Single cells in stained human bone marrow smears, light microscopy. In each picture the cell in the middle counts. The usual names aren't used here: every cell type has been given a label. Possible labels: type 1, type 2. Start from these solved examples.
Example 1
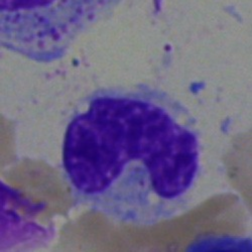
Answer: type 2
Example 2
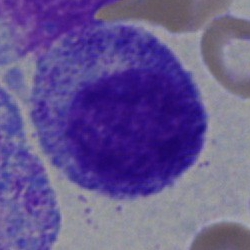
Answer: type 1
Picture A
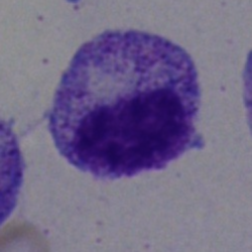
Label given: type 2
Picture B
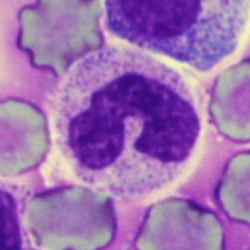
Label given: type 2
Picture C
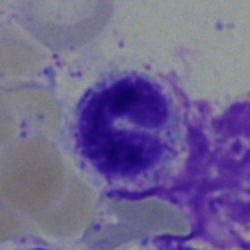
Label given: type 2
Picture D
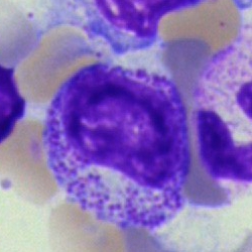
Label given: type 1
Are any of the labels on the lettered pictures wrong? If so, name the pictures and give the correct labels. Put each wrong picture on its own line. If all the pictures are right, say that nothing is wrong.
A: not type 2 but type 1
